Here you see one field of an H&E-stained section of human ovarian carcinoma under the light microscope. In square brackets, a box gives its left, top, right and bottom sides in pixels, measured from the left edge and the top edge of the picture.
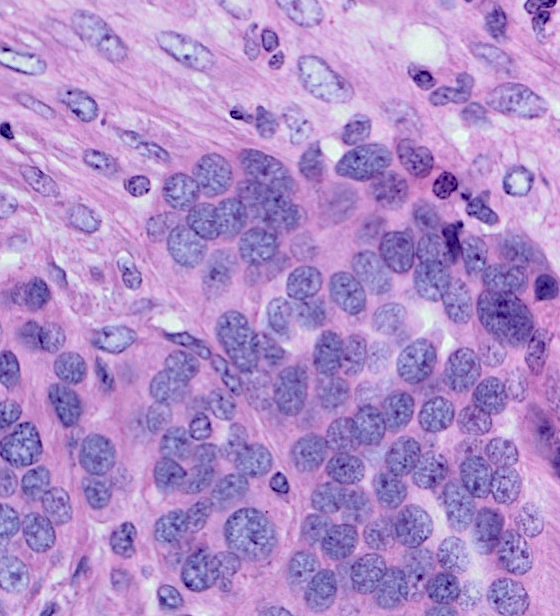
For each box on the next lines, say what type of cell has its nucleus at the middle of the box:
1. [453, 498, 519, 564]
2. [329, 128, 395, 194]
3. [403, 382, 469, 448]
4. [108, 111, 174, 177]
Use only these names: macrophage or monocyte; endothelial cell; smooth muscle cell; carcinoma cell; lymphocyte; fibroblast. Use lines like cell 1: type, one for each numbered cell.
cell 1: carcinoma cell
cell 2: carcinoma cell
cell 3: carcinoma cell
cell 4: fibroblast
